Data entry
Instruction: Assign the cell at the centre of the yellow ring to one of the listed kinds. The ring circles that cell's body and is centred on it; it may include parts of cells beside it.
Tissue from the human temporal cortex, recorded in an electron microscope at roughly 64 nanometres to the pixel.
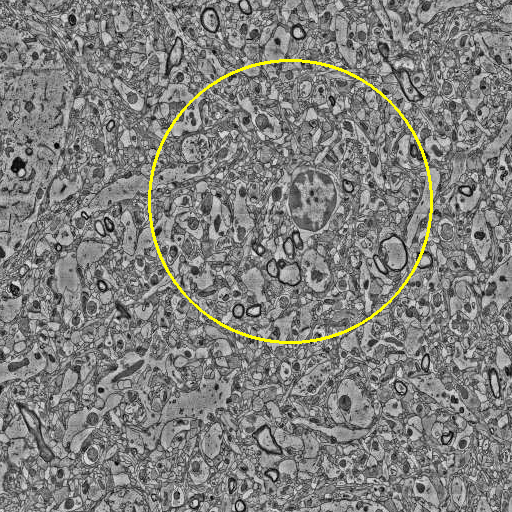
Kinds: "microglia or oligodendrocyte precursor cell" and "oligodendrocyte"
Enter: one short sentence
The centre of the ring falls on a microglial cell or oligodendrocyte precursor cell.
